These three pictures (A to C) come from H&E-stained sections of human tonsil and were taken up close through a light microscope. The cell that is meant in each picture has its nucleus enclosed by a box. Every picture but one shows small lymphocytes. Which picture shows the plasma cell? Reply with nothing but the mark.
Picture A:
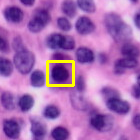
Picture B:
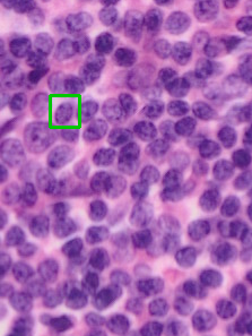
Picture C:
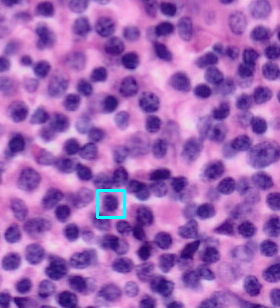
A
